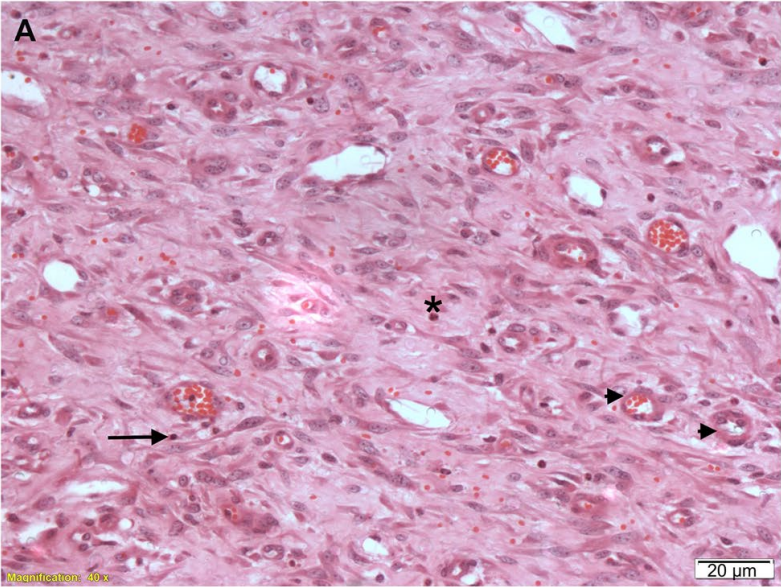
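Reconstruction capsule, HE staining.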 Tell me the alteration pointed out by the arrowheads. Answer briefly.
angiogenesis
